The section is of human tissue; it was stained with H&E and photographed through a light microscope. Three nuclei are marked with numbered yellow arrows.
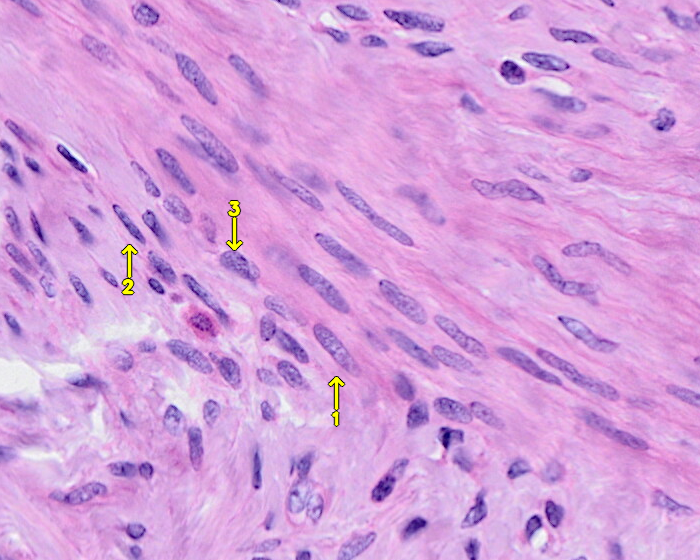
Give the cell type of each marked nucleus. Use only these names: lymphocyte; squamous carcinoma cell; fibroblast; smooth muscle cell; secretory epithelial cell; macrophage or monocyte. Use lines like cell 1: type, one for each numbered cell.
cell 1: smooth muscle cell
cell 2: fibroblast
cell 3: fibroblast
